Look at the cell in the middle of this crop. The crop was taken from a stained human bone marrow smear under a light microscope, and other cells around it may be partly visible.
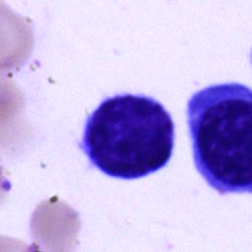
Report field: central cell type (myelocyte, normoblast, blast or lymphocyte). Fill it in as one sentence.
The cell marked by its central position in the crop is a lymphocyte.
